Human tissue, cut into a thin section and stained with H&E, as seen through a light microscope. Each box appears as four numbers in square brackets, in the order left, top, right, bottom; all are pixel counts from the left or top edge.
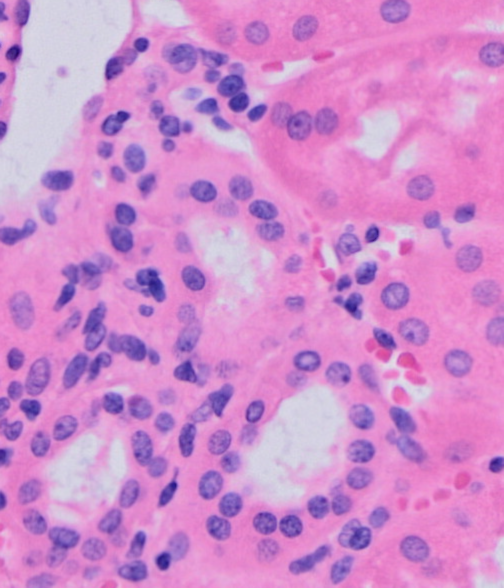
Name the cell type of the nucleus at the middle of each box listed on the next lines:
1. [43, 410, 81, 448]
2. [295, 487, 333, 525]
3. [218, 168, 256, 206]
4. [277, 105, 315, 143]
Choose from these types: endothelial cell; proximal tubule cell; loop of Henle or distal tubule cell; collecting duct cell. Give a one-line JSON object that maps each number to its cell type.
{"1": "collecting duct cell", "2": "collecting duct cell", "3": "collecting duct cell", "4": "proximal tubule cell"}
